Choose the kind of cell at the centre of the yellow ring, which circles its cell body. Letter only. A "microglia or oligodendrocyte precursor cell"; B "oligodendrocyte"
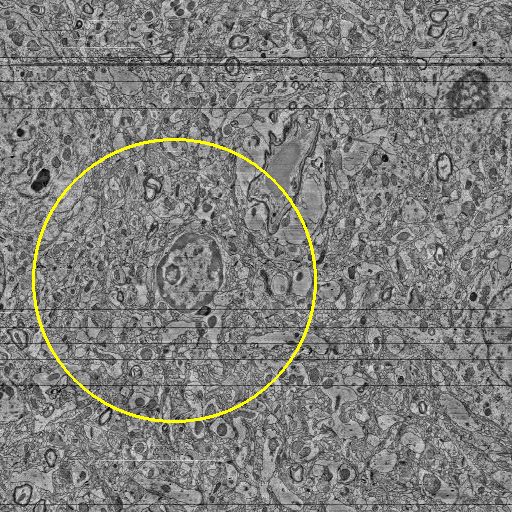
A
